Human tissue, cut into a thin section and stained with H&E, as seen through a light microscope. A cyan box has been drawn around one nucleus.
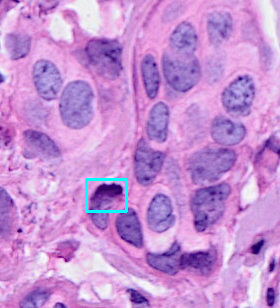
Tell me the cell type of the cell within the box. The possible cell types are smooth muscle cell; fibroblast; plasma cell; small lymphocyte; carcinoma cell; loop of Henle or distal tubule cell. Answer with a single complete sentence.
As to its cell type, the cell within the box is a carcinoma cell.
